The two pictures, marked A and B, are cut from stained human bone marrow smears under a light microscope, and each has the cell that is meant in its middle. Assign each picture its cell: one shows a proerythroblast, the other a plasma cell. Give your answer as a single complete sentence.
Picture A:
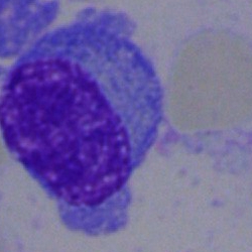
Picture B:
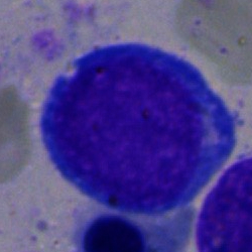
It is picture A that shows a plasma cell, and picture B that shows a proerythroblast.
